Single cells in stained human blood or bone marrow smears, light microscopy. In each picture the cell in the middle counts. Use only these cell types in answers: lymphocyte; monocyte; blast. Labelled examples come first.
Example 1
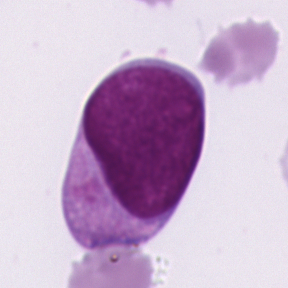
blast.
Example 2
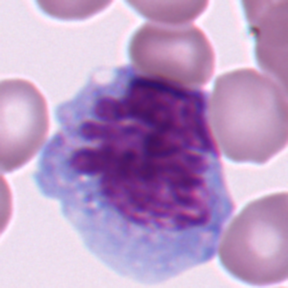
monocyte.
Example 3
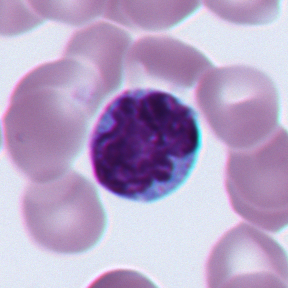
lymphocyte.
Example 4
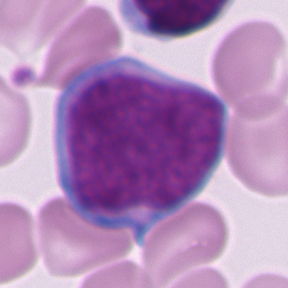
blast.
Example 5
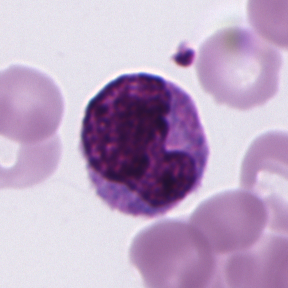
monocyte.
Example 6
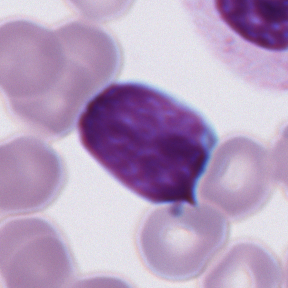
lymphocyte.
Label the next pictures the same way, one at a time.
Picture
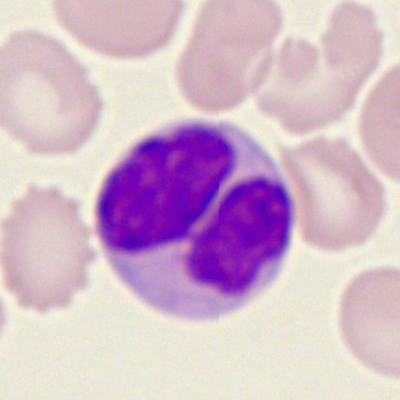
monocyte.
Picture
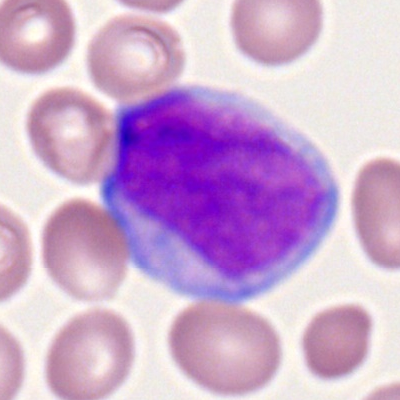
blast.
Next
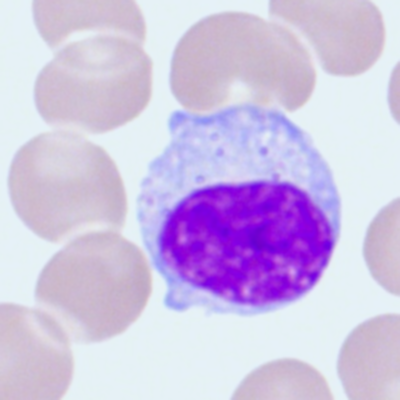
lymphocyte.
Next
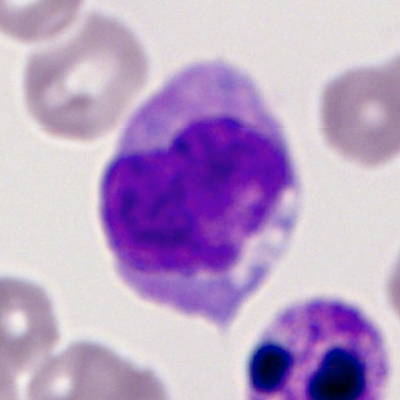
monocyte.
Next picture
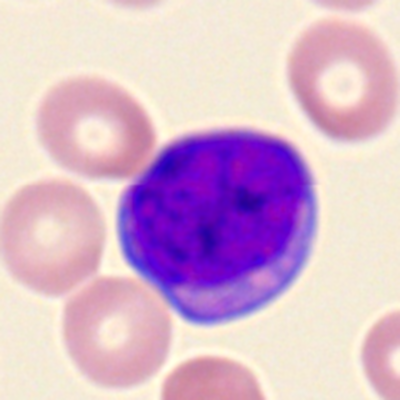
blast.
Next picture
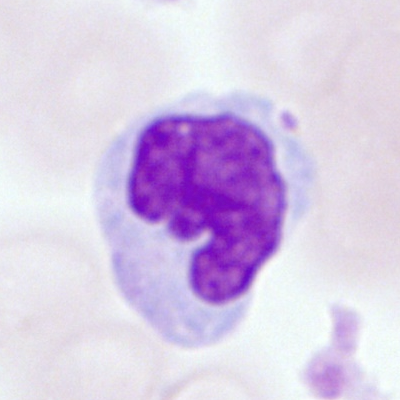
monocyte.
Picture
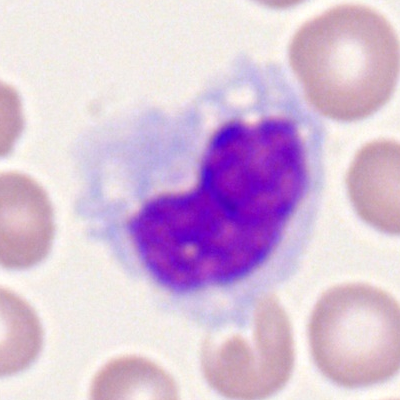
monocyte.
